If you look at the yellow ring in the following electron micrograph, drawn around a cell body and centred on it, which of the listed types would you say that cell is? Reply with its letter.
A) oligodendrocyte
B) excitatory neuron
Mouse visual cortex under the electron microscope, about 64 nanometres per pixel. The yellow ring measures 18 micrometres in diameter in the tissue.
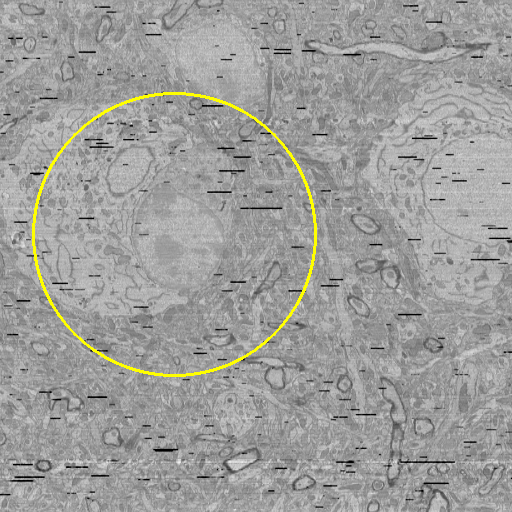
A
